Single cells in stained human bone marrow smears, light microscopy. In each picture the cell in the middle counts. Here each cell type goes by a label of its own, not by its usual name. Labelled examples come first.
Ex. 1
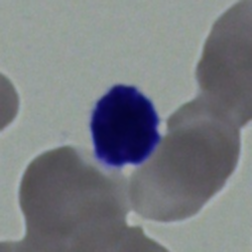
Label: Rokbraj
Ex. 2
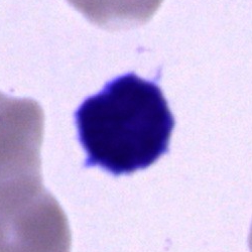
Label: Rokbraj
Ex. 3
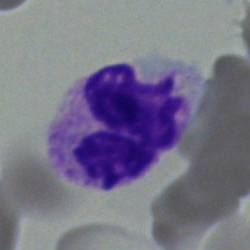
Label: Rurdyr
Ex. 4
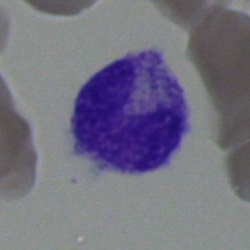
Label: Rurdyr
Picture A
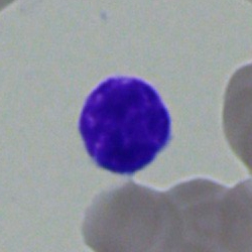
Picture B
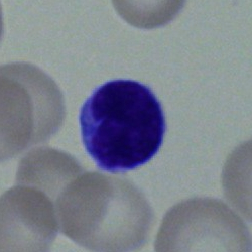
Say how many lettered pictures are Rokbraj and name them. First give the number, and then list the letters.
2, namely A, B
